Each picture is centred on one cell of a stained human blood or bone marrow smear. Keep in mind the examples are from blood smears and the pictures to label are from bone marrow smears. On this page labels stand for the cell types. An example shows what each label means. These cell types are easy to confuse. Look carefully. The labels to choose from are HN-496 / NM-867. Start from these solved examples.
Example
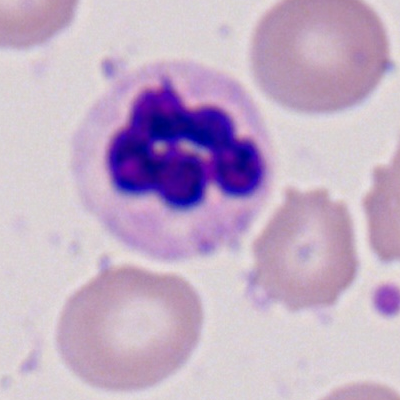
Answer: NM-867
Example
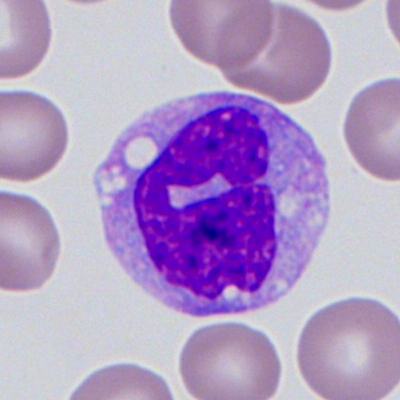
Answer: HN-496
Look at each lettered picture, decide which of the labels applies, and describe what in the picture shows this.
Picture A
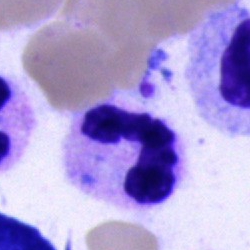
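NM-867. The cytoplasm is abundant and pale lilac-pink.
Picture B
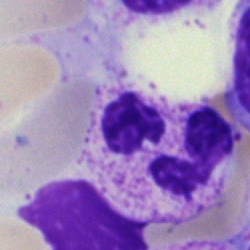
NM-867. Fine pink-purple granules are scattered throughout the cytoplasm.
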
